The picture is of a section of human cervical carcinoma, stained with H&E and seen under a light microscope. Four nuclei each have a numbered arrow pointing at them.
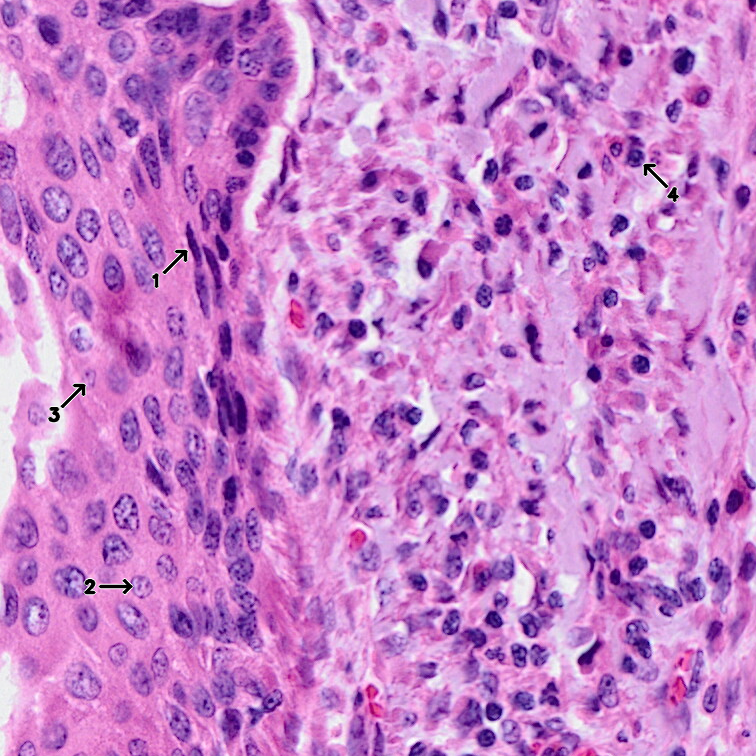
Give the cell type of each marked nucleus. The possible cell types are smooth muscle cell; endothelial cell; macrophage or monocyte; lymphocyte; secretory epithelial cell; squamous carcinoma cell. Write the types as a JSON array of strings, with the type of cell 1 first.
["squamous carcinoma cell", "squamous carcinoma cell", "squamous carcinoma cell", "lymphocyte"]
